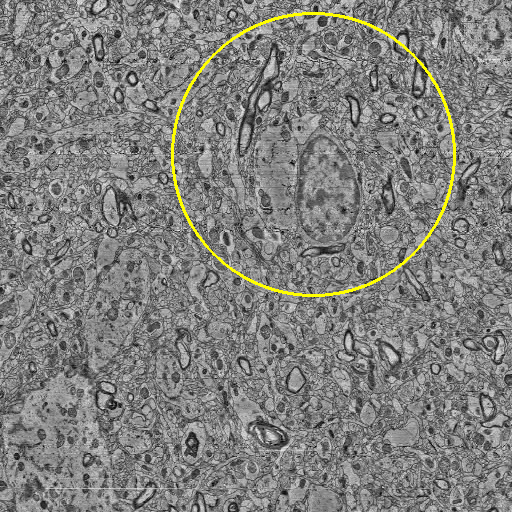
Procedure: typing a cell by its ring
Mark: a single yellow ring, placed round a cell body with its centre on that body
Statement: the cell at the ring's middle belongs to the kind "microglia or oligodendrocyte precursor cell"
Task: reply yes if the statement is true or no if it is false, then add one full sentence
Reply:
No, this is false: the cell at the ring's centre in the picture belongs to some other kind.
